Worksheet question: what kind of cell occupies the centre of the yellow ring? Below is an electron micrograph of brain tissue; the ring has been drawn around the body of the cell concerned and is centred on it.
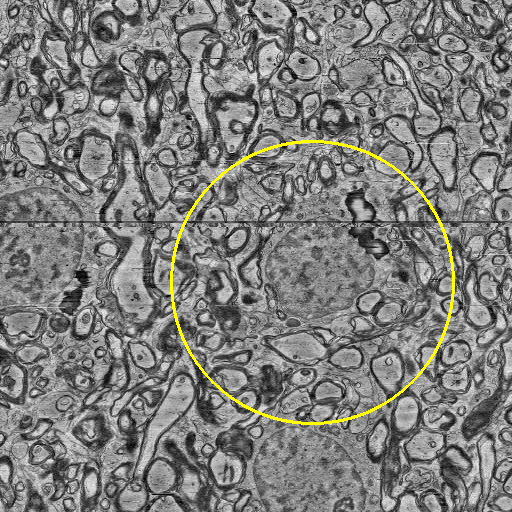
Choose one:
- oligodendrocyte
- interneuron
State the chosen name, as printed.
oligodendrocyte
